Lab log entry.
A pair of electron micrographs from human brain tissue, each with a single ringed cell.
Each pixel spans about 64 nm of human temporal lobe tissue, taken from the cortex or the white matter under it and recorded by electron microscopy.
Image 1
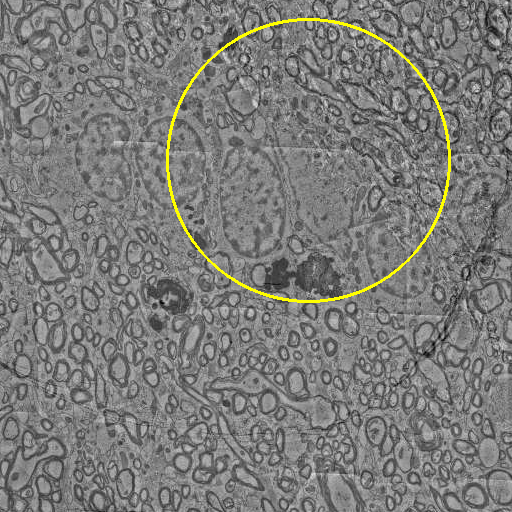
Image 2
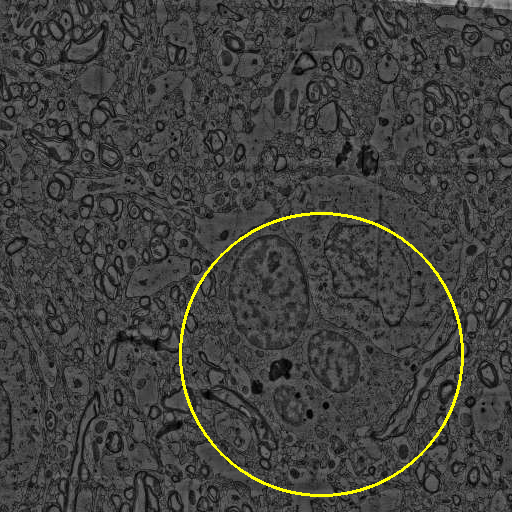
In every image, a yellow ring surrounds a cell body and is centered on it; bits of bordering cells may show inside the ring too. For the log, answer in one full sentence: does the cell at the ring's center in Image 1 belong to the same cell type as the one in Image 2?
No, the cells at the ring centers in Image 1 and Image 2 are of separate types.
